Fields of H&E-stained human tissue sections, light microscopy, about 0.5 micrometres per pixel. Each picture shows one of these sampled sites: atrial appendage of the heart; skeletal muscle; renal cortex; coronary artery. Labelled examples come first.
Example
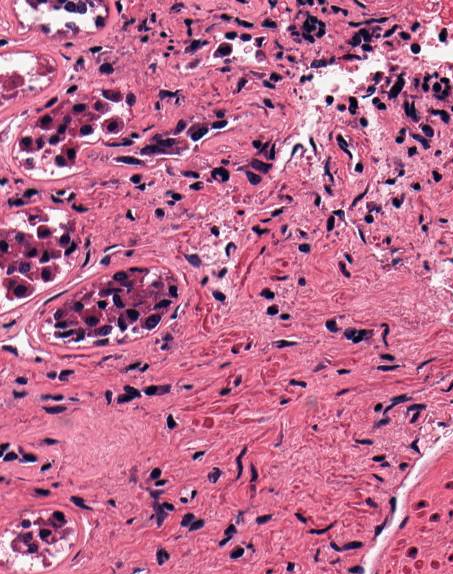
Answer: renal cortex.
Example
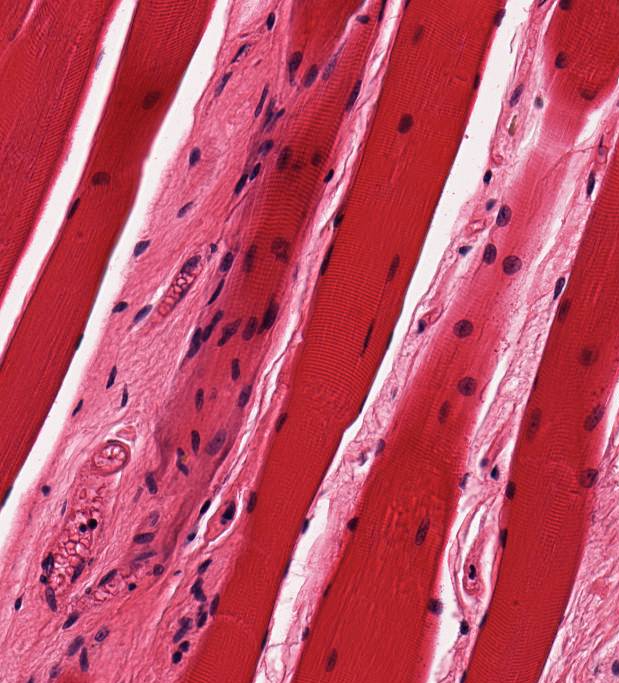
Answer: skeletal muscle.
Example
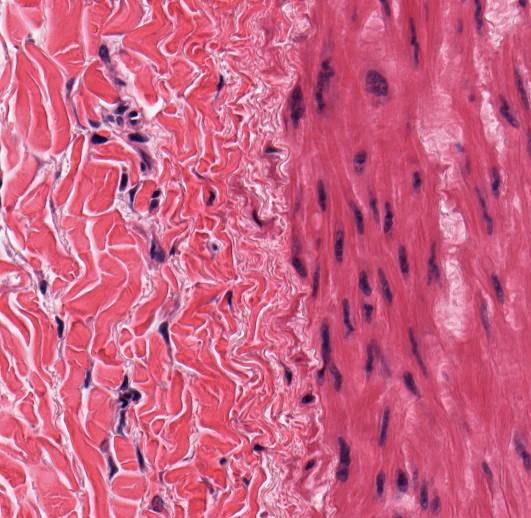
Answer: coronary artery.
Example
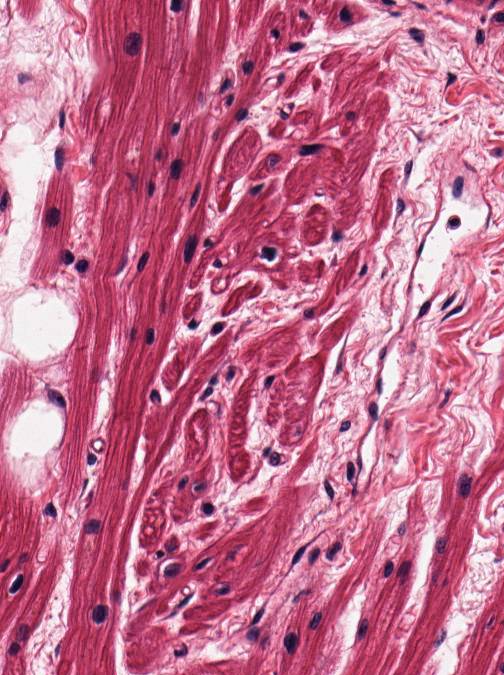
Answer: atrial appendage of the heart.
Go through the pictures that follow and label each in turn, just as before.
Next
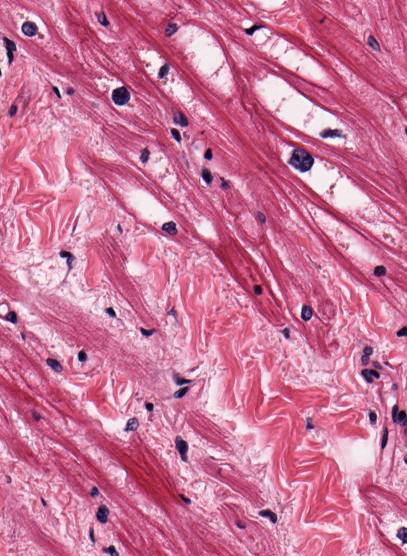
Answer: atrial appendage of the heart.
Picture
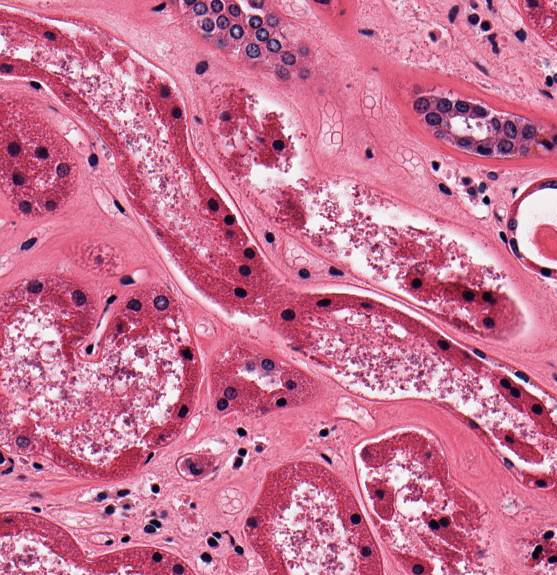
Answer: renal cortex.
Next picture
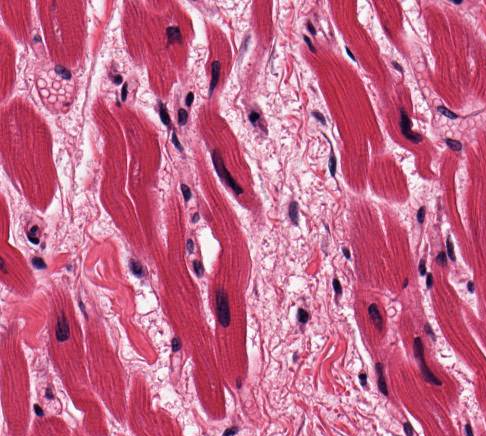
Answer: atrial appendage of the heart.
